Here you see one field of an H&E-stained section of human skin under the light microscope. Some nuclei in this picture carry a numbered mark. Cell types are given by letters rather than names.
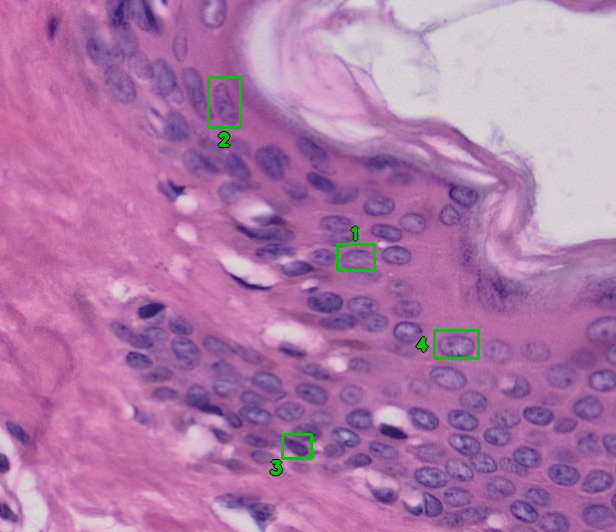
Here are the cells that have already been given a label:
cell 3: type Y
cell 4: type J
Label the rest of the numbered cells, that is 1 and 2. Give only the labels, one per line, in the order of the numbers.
type J
type J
